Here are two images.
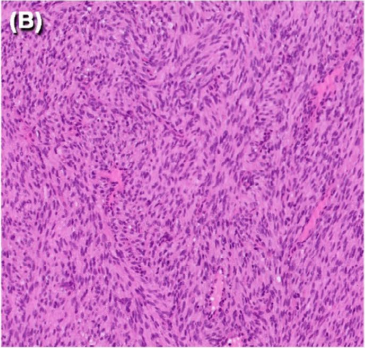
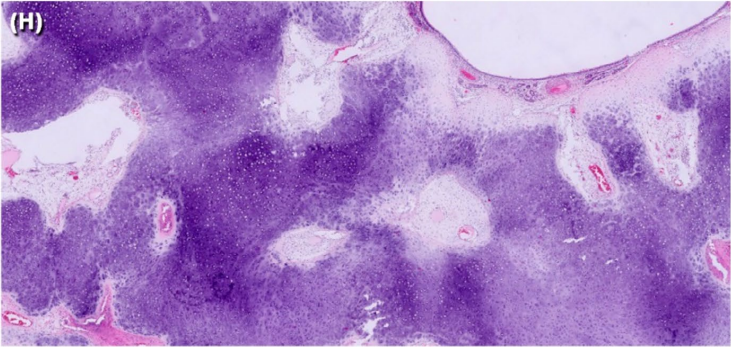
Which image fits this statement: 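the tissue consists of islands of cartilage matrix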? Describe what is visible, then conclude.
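Second image: lobules of blue-purple cartilage matrix with sparse cells in lacunae. First image: dense sheets of pink spindle cells with no cartilage matrix. The answer: the second image.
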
